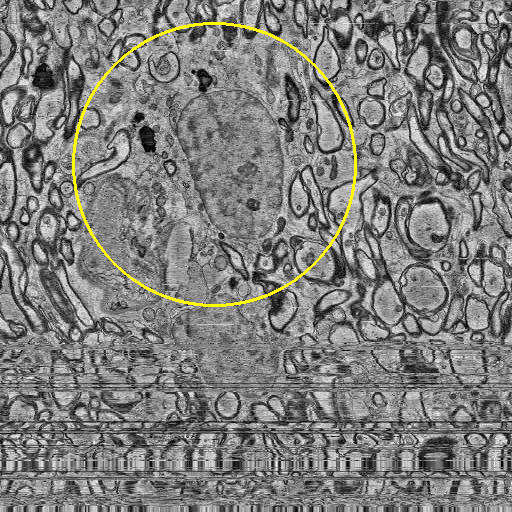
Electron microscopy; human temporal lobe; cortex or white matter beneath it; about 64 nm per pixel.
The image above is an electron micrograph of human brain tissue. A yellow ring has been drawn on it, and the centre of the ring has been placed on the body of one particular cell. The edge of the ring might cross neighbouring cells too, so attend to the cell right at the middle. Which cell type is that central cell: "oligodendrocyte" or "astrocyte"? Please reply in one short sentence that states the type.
The central cell in the ring is an oligodendrocyte.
